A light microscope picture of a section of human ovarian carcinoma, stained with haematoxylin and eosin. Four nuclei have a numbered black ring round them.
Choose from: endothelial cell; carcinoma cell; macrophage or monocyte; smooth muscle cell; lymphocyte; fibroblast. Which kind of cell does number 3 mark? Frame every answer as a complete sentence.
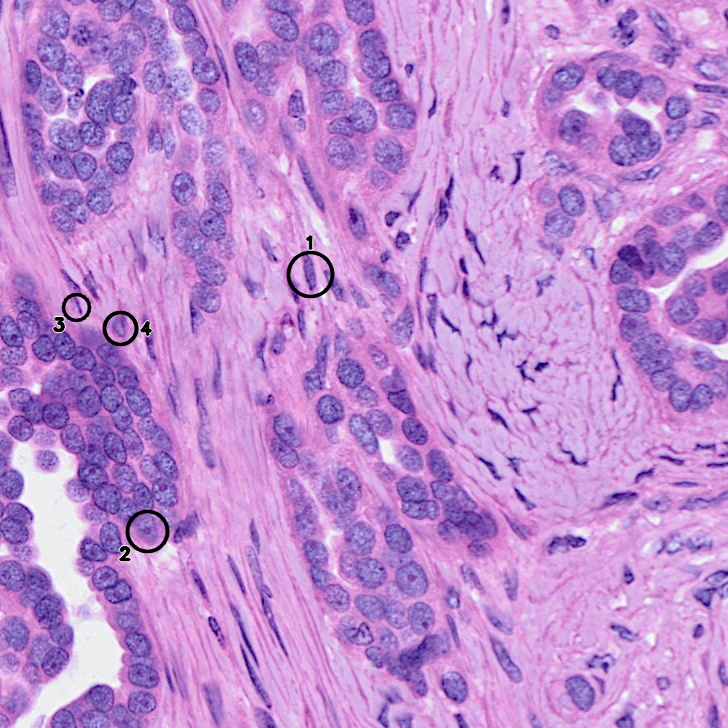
The cell indicated by marker 3 is a fibroblast in this section.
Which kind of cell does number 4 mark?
The marked nucleus 4 is that of a fibroblast.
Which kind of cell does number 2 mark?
The one labeled 2 is a carcinoma cell, to put it simply.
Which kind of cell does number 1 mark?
The cell to which the number 1 is assigned is a fibroblast.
